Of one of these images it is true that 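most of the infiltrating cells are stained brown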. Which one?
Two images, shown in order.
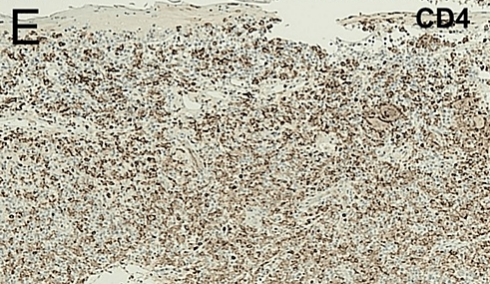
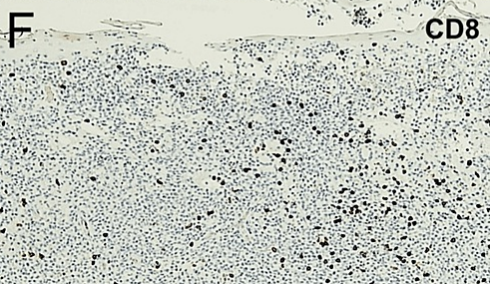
The first image.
